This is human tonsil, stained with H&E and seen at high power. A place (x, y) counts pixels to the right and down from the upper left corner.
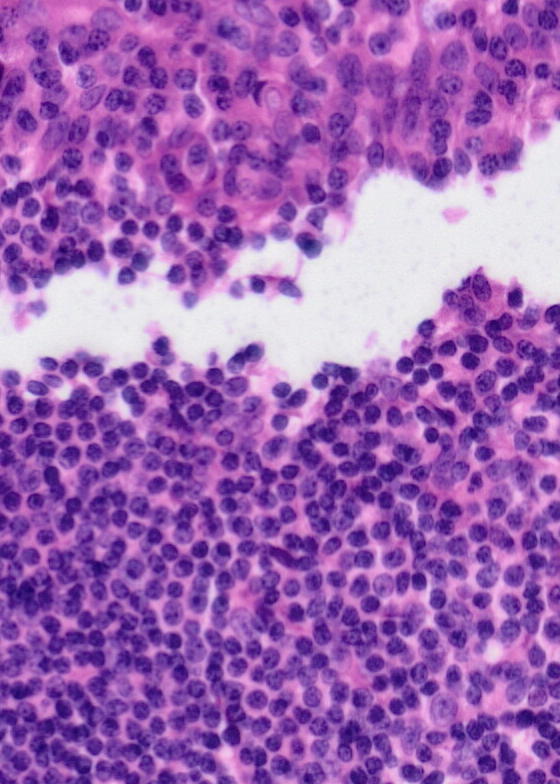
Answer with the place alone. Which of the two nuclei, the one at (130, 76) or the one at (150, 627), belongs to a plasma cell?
(130, 76)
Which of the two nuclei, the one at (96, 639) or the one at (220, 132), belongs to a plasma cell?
(220, 132)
